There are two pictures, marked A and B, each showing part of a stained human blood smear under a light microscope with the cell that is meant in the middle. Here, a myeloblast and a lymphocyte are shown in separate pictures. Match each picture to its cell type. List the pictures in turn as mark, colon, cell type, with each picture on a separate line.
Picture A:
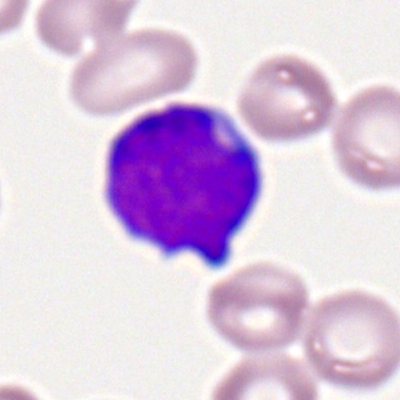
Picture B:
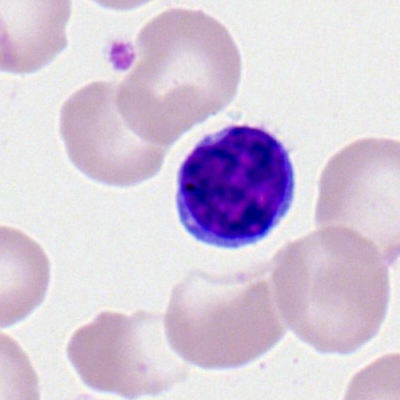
A: myeloblast
B: lymphocyte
